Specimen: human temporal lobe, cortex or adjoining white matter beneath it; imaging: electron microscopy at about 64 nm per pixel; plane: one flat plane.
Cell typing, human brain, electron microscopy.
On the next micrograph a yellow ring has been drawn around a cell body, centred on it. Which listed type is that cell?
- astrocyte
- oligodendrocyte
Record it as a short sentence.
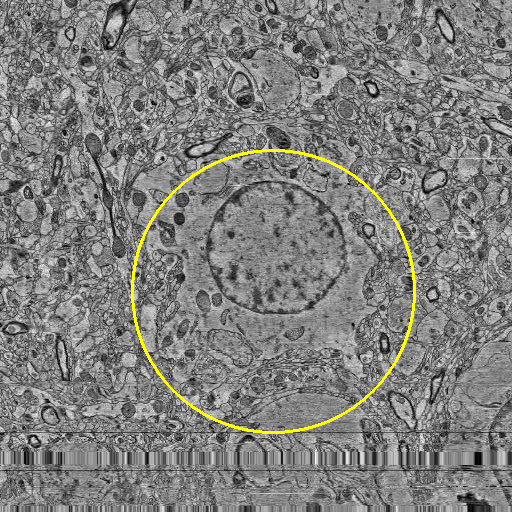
The cell body in the ring's centre belongs to an astrocyte.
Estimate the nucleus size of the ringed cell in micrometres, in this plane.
The nucleus comes to roughly 9 micrometres across in this plane.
